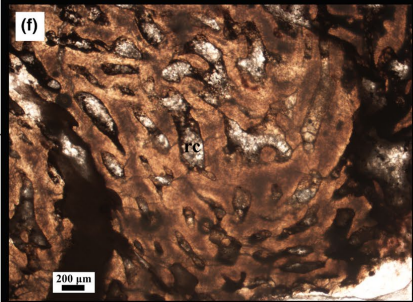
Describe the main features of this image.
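This is reactive new bone made of woven bone tissue, seen in a thin section of fossil bone in brownish tones. The matrix is riddled with many pale, irregular spaces of varying sizes, the resorption cavities, filled with lighter whitish mineral. The cavities are oval to elongate and lie in no single orientation, giving a disordered, mesh-like look. Toward the left edge the tissue becomes darker and more opaque.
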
